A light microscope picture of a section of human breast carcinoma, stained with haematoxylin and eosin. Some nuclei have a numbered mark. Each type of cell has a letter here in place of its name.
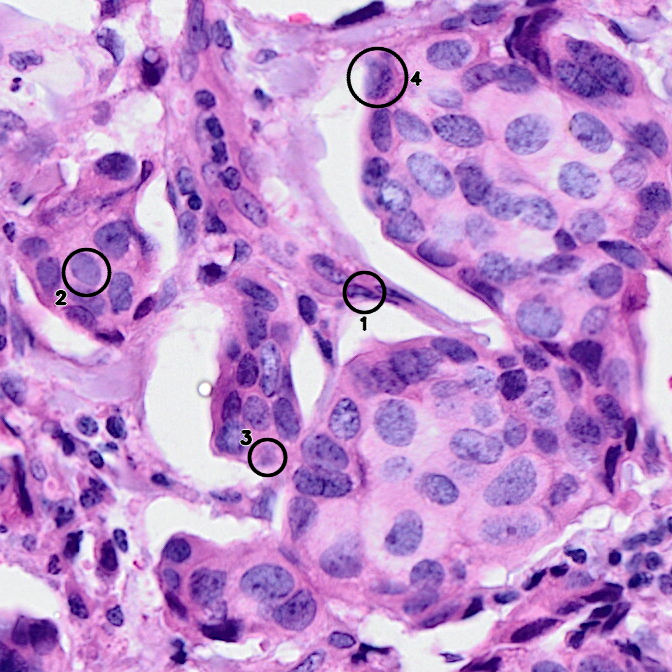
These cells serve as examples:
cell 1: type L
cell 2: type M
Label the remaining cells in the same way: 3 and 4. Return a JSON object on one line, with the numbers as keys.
{"3": "type M", "4": "type M"}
